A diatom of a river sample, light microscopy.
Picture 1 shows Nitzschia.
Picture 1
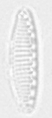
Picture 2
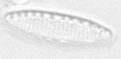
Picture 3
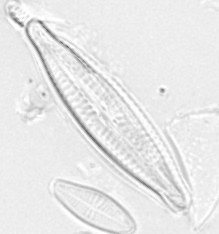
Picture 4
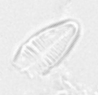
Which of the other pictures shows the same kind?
Picture 2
